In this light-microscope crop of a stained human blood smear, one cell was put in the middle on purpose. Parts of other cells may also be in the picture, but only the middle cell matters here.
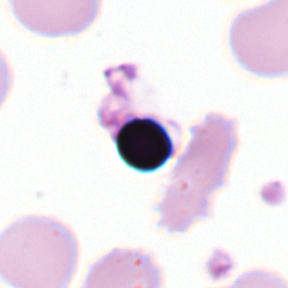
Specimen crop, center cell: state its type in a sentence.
In the middle of this smear crop is a normoblast.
